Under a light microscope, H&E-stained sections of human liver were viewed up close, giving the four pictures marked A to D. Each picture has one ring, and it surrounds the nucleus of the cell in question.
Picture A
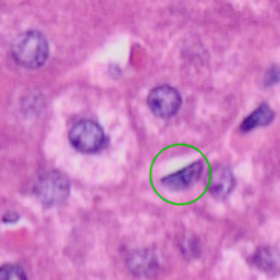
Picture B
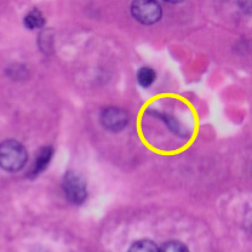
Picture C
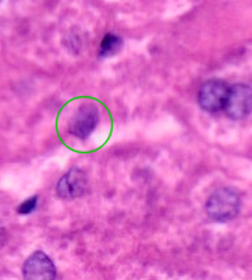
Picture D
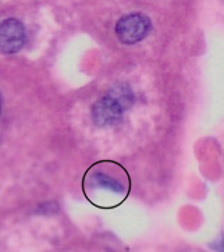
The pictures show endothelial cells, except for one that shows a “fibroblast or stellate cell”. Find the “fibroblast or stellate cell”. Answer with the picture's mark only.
B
